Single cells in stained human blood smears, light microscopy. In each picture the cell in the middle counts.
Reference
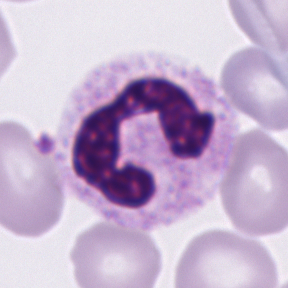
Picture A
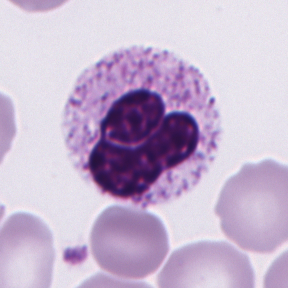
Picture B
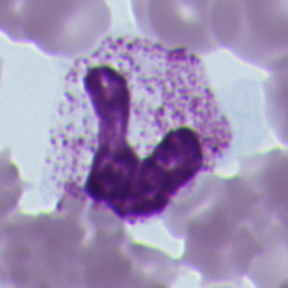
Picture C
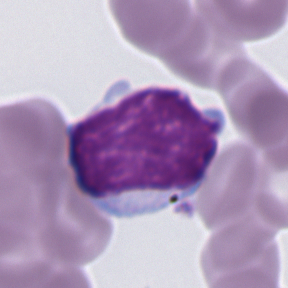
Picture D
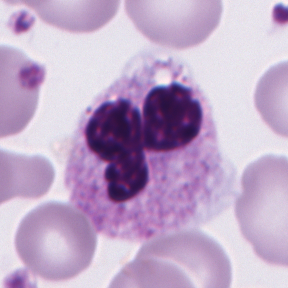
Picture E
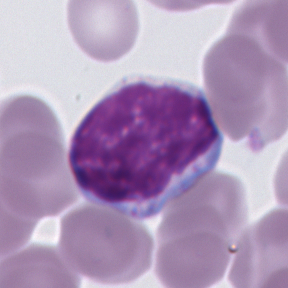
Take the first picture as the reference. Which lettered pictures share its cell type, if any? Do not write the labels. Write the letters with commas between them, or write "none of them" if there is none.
A, B, D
